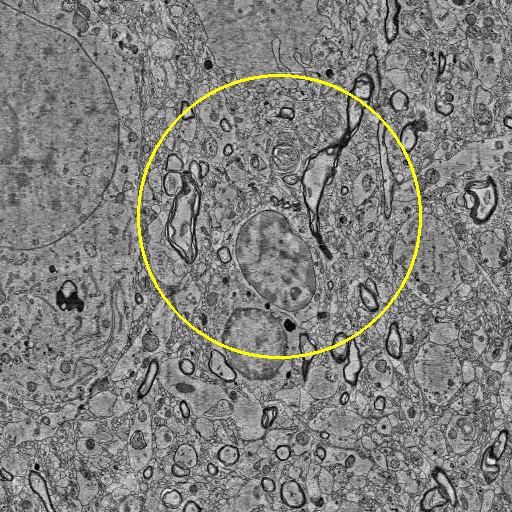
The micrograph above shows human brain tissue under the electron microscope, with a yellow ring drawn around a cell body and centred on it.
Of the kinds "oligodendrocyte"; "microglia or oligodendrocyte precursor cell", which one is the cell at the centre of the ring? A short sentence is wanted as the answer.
The one at the centre of the ring is a microglial cell or oligodendrocyte precursor cell.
